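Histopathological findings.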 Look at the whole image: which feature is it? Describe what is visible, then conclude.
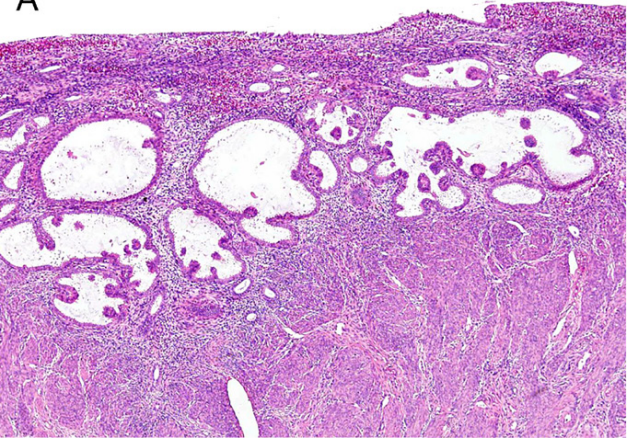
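Several large, rounded, empty-looking spaces lie in a row beneath the surface.
Cystically dilated glandular lumina.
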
